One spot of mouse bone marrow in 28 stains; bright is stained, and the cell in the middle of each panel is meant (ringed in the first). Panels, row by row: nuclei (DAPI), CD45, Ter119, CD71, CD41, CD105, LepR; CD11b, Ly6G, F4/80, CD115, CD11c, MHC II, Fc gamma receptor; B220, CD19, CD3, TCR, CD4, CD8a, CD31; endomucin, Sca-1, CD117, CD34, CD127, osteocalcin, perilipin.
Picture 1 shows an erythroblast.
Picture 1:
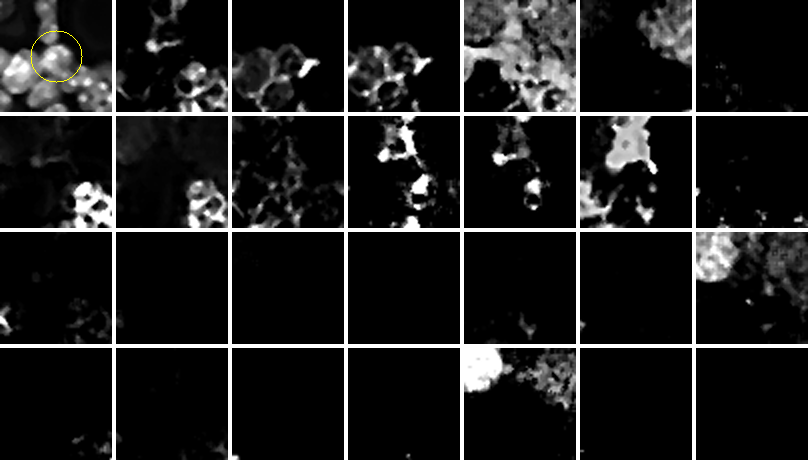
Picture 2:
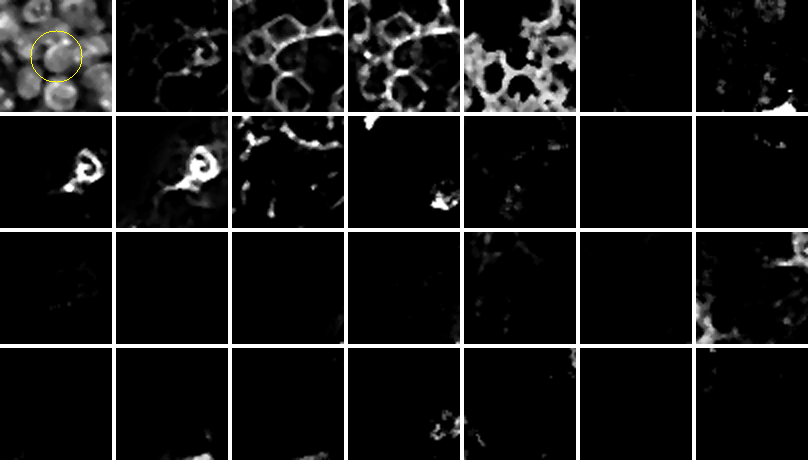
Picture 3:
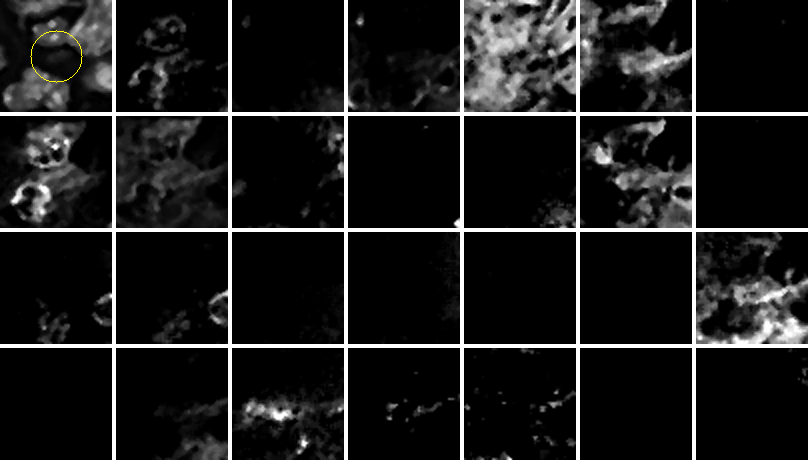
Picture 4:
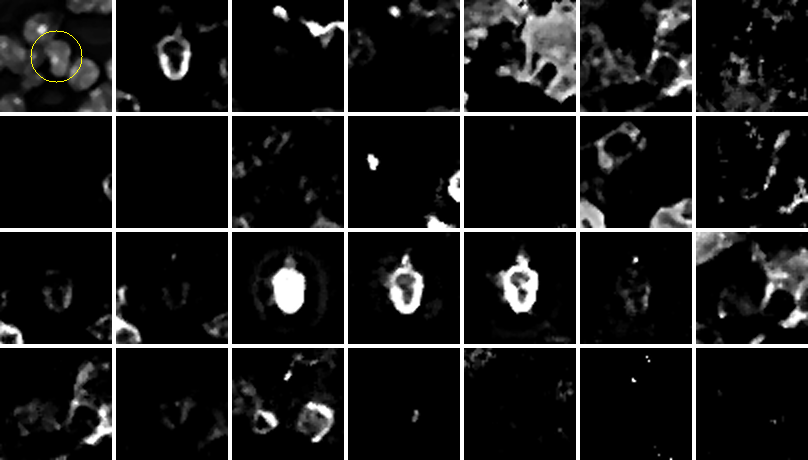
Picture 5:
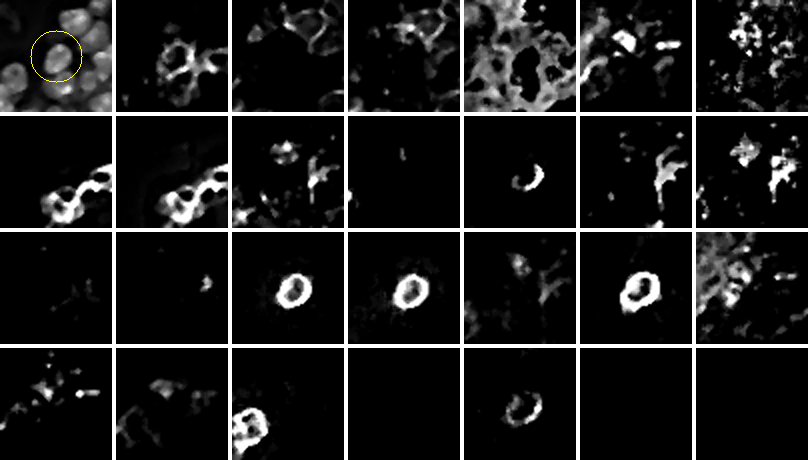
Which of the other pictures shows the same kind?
Picture 2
